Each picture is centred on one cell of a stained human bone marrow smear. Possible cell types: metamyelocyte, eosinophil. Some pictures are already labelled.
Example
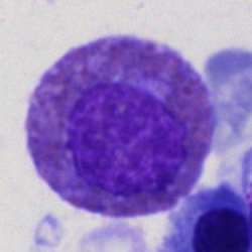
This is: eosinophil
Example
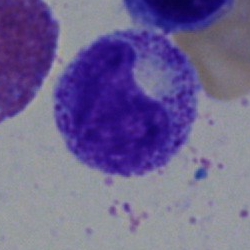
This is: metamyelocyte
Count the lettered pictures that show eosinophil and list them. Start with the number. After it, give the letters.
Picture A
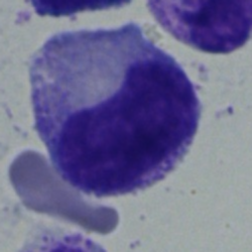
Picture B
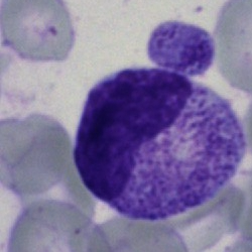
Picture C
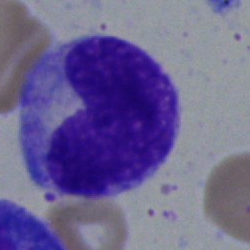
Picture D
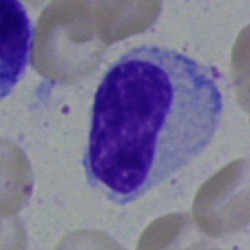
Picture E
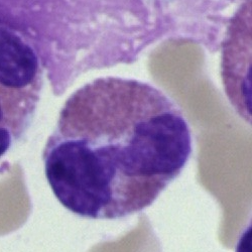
Count: 1 (E)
